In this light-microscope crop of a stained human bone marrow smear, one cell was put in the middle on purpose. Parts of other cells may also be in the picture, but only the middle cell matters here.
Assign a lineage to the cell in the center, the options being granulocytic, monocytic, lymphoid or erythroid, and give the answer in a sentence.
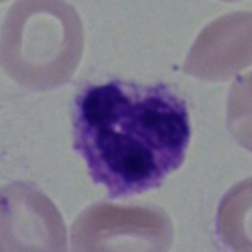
With respect to lineage, the middle cell falls within the granulocytic lineage.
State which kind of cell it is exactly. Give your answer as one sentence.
The cell of interest, in the center, is a segmented neutrophil.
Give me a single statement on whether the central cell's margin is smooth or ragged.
This cell does not have a smooth edge; it is ragged or extended into projections.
